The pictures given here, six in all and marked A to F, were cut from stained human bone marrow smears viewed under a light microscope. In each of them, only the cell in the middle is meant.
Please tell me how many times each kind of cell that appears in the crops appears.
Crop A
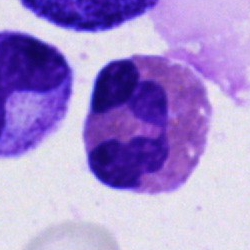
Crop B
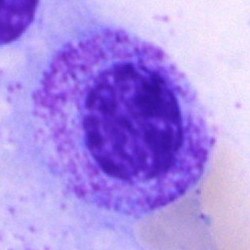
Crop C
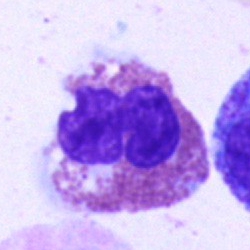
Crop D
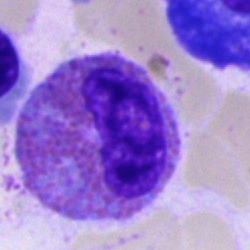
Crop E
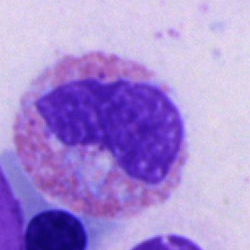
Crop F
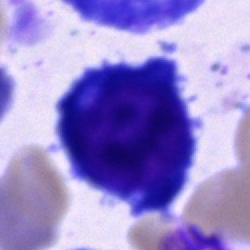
eosinophil: 4
myelocyte: 1
proerythroblast: 1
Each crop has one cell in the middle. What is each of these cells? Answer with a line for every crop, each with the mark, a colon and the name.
A: eosinophil
B: myelocyte
C: eosinophil
D: eosinophil
E: eosinophil
F: proerythroblast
